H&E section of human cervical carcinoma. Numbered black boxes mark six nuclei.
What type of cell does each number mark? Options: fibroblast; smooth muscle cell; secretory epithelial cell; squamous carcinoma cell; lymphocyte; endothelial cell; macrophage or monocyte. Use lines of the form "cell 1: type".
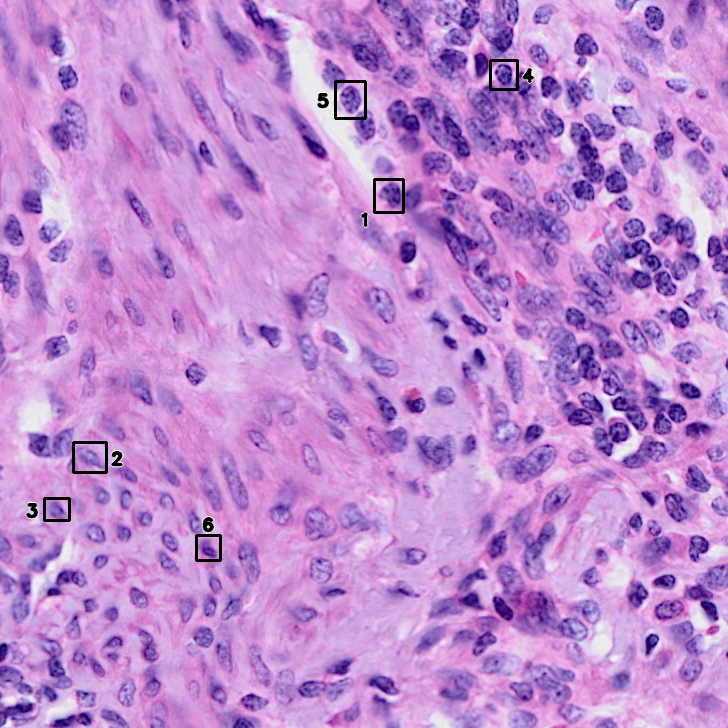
cell 1: lymphocyte
cell 2: smooth muscle cell
cell 3: smooth muscle cell
cell 4: lymphocyte
cell 5: lymphocyte
cell 6: smooth muscle cell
